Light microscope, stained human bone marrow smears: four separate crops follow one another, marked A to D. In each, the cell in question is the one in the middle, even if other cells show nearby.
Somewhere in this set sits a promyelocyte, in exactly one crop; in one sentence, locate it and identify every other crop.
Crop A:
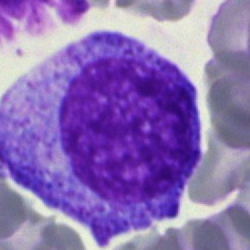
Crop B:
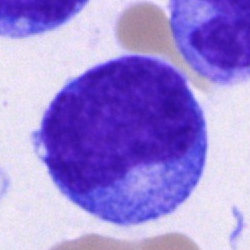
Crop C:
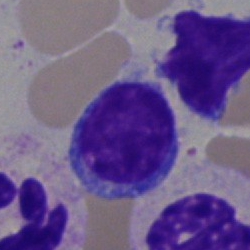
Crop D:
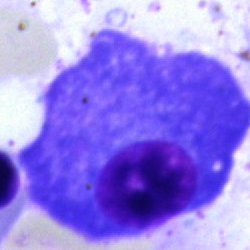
There is a promyelocyte in crop A, while crop B is a blast, crop C is a lymphocyte and crop D is a plasma cell.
